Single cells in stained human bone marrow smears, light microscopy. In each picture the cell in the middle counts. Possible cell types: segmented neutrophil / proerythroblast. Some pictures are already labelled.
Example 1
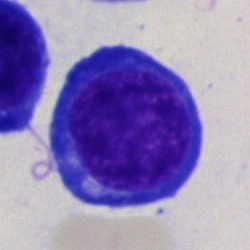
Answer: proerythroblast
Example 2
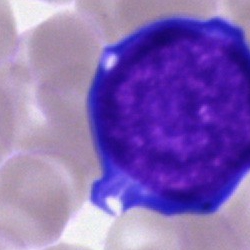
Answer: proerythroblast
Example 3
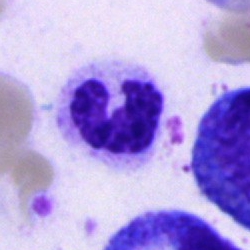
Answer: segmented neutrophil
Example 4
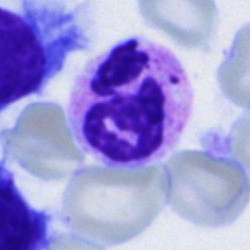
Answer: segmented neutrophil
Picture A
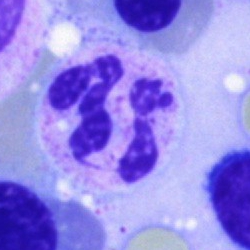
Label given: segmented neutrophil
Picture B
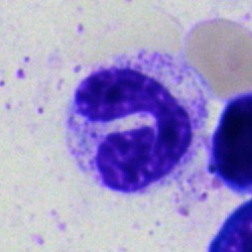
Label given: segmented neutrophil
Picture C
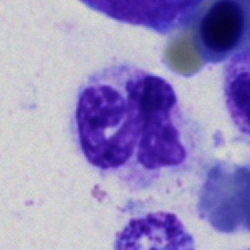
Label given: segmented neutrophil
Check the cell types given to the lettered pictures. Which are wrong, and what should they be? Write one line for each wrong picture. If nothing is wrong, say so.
None of the labels needs changing.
